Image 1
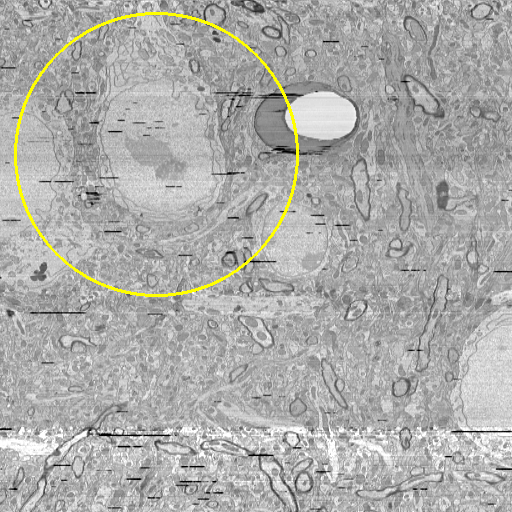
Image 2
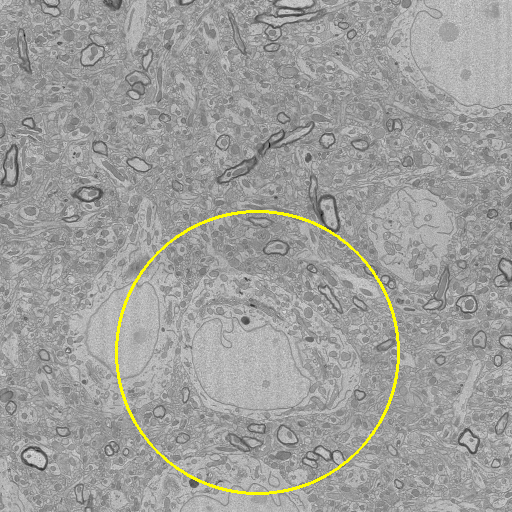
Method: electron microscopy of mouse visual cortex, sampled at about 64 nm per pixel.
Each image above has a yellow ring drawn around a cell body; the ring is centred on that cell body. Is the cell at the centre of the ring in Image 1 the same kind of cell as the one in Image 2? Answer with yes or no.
yes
